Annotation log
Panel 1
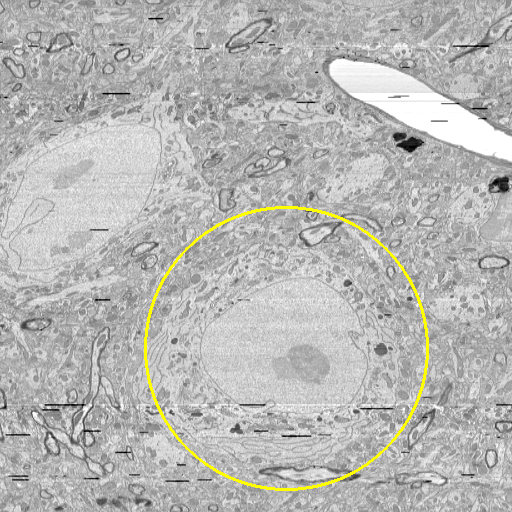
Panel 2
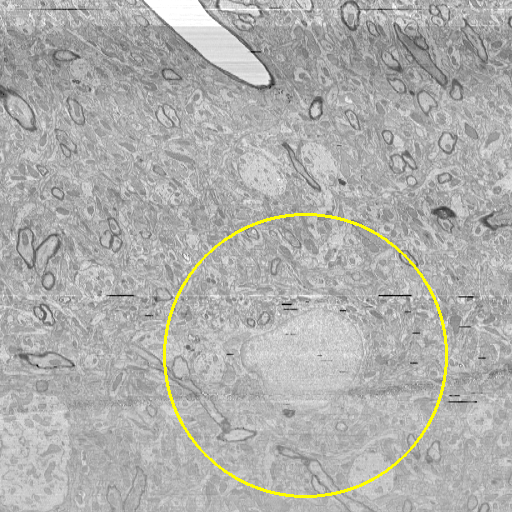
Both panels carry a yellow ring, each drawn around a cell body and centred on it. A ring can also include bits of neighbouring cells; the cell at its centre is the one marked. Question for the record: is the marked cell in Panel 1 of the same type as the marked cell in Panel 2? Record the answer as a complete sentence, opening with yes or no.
No, the marked cells in Panel 1 and Panel 2 are of two types.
